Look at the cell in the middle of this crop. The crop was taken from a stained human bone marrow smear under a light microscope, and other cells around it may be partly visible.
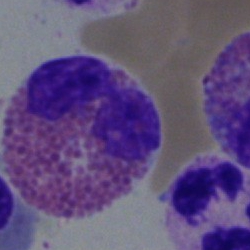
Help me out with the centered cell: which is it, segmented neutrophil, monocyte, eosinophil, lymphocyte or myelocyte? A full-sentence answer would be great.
The cell centered in this field of view is an eosinophil.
